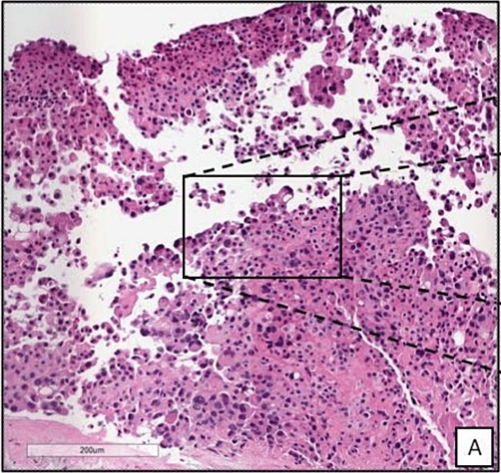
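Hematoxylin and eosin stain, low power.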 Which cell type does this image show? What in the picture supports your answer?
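Epithelioid neoplastic cells. Sheets of plump, polygonal cells with abundant pink cytoplasm. The cell sheet is fragmented, with clefts and loose clusters of cells.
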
